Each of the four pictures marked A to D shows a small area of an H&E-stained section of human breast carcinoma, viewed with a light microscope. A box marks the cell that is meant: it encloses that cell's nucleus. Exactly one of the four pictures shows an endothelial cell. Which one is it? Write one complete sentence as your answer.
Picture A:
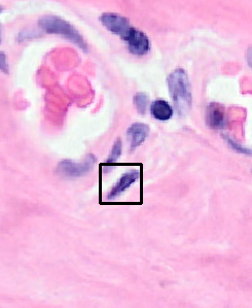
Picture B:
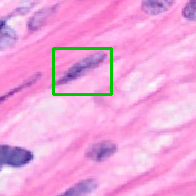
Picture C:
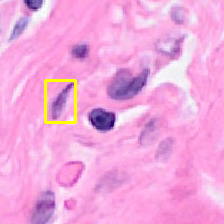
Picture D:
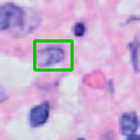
The endothelial cell is the one in picture D.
